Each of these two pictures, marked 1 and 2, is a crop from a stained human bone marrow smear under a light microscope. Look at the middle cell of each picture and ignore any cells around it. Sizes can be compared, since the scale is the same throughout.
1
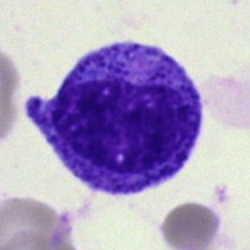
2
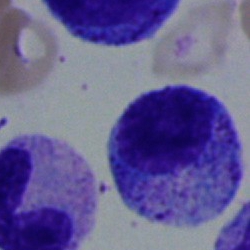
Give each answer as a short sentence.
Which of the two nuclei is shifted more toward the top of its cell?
Seen within its cell, the nucleus in crop 2 lies further toward the top.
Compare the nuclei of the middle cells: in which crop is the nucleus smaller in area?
The nucleus in crop 2 is smaller; the one in crop 1 has about 1.5 times its area.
